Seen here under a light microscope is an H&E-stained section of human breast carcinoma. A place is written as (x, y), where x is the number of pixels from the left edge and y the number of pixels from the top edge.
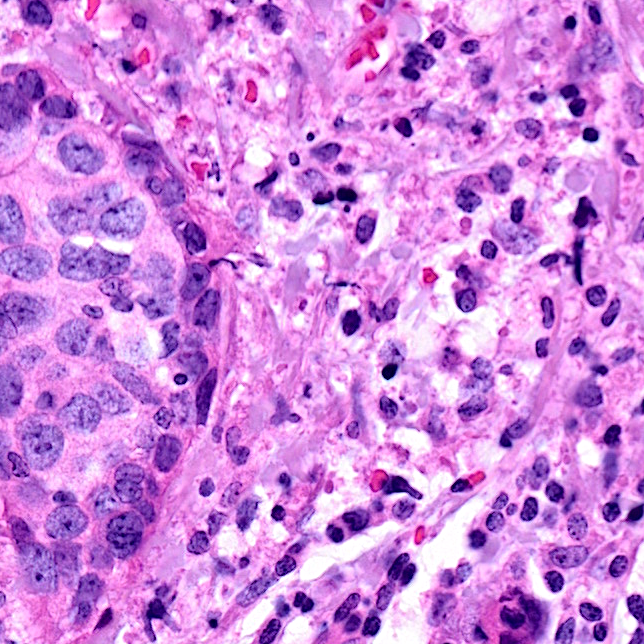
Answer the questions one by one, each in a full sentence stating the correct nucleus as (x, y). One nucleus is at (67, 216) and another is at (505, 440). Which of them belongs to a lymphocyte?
It is at (505, 440) that the nucleus of a lymphocyte is found.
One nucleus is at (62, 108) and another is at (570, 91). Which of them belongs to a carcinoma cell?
It is the nucleus at (62, 108), not the other one, that belongs to a carcinoma cell.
